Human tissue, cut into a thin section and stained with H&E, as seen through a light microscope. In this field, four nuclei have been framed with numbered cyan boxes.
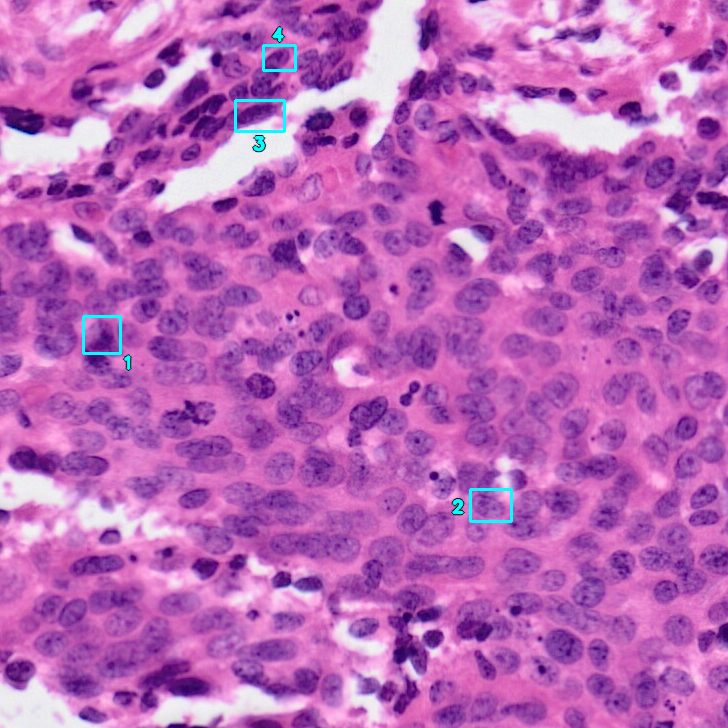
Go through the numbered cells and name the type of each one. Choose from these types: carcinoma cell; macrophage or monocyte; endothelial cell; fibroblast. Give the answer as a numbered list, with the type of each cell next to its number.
1. carcinoma cell
2. carcinoma cell
3. carcinoma cell
4. macrophage or monocyte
